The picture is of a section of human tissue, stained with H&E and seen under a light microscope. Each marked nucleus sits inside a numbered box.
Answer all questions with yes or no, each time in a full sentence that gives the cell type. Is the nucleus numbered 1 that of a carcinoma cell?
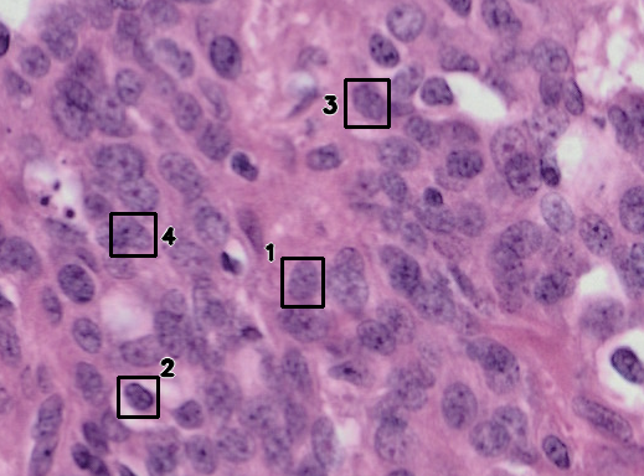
Yes, the cell shown as number 1 is a carcinoma cell.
